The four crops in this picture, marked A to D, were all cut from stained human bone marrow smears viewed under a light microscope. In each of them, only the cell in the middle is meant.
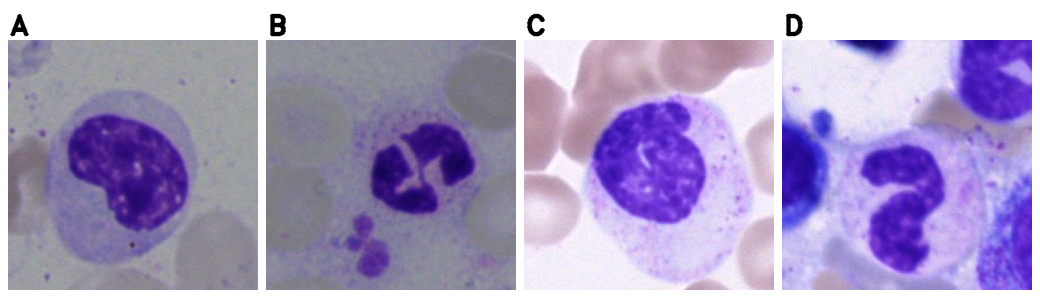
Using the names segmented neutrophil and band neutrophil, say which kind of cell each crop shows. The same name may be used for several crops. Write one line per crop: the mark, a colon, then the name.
A: band neutrophil
B: segmented neutrophil
C: band neutrophil
D: band neutrophil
